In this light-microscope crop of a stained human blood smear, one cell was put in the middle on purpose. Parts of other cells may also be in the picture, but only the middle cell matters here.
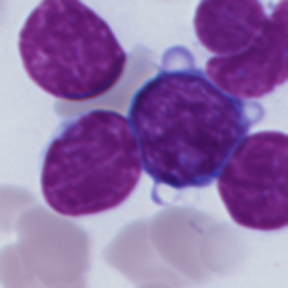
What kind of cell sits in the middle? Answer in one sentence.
The centrally placed cell is classified as a myeloblast.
